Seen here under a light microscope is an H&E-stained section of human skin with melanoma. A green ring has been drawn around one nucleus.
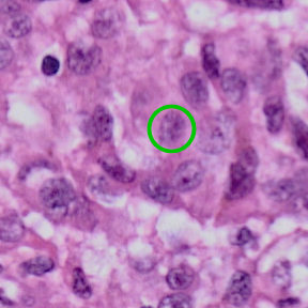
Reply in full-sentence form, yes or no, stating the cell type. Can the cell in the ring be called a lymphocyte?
No, mate, the cell in the ring is a melanoma cell rather than a lymphocyte.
